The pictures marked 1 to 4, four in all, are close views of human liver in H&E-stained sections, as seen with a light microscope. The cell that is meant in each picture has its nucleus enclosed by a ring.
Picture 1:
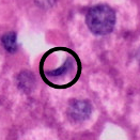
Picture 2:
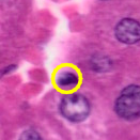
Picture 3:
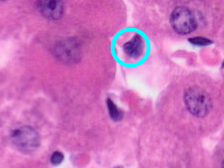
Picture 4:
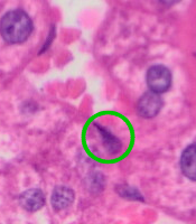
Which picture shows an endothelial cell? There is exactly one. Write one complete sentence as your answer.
It is picture 1 that shows the endothelial cell.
